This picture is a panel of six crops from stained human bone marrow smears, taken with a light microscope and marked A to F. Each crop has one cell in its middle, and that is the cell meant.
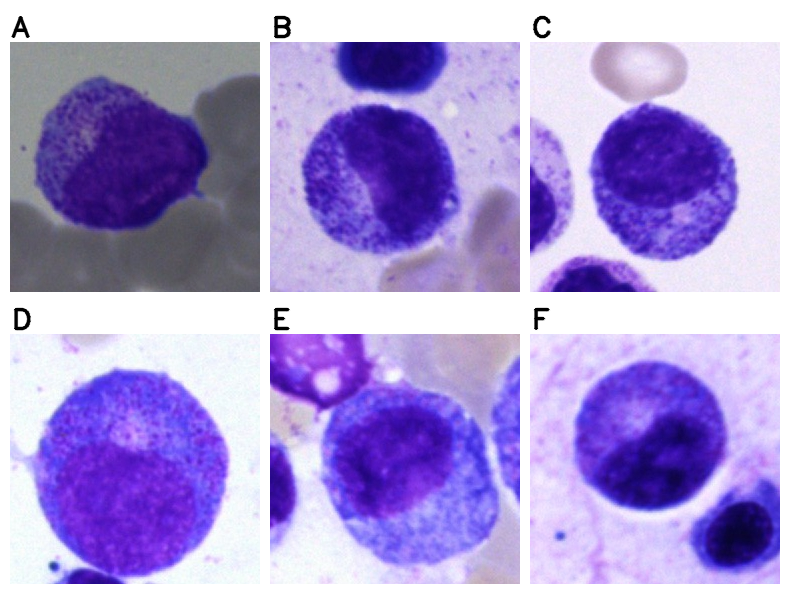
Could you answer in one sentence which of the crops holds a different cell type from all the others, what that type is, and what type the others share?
All of the other crops show promyelocytes; crop A, by contrast, is a myelocyte.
